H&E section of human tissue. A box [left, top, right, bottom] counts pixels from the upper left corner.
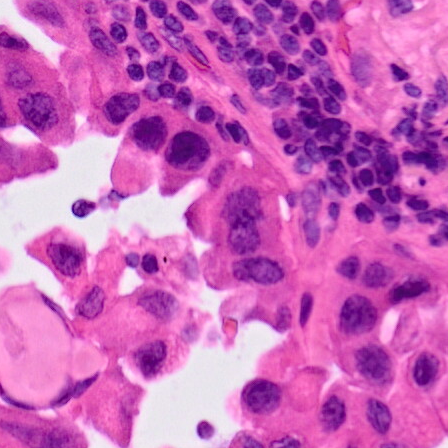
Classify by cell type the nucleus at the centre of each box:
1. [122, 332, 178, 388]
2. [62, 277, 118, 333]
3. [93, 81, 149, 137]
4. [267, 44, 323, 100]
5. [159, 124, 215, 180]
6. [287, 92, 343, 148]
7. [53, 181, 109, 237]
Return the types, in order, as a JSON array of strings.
["carcinoma cell", "carcinoma cell", "carcinoma cell", "lymphocyte", "carcinoma cell", "lymphocyte", "lymphocyte"]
